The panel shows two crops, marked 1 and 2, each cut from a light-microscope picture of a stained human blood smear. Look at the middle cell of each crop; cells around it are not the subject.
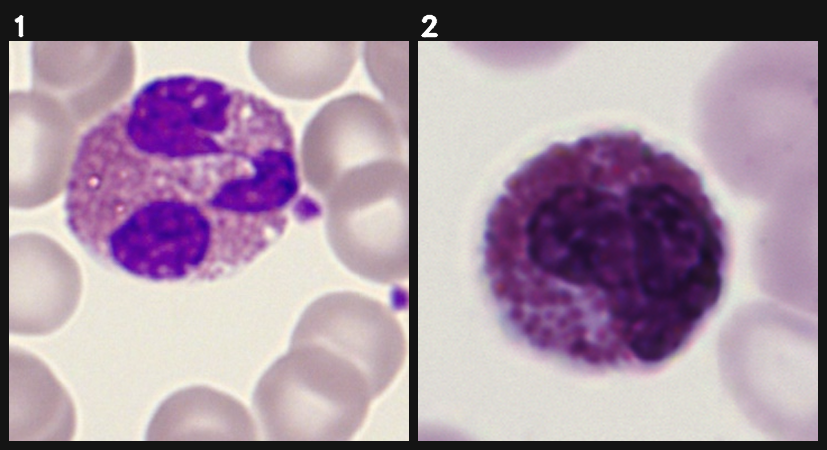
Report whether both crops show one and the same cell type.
yes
